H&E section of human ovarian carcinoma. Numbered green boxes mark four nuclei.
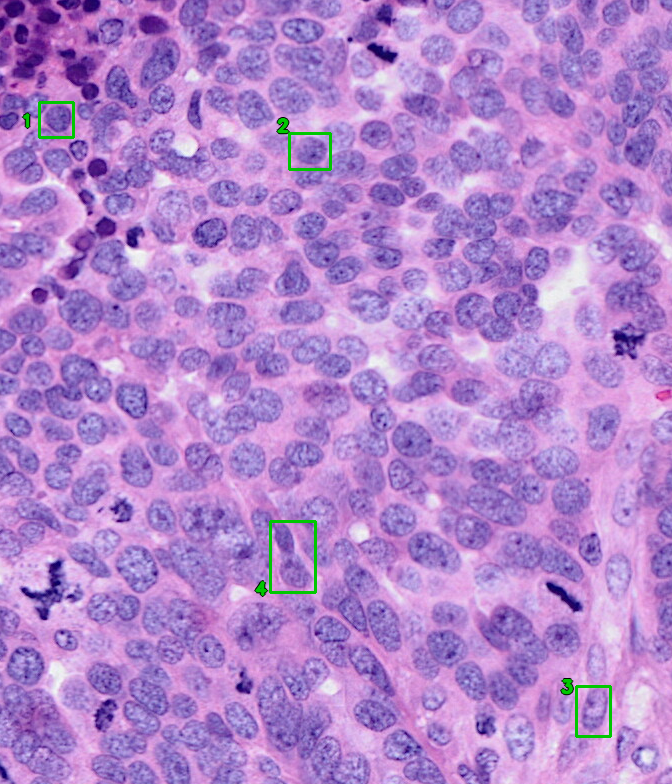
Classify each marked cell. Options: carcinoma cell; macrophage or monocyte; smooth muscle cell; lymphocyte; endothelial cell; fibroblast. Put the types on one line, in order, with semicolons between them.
carcinoma cell; carcinoma cell; fibroblast; carcinoma cell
